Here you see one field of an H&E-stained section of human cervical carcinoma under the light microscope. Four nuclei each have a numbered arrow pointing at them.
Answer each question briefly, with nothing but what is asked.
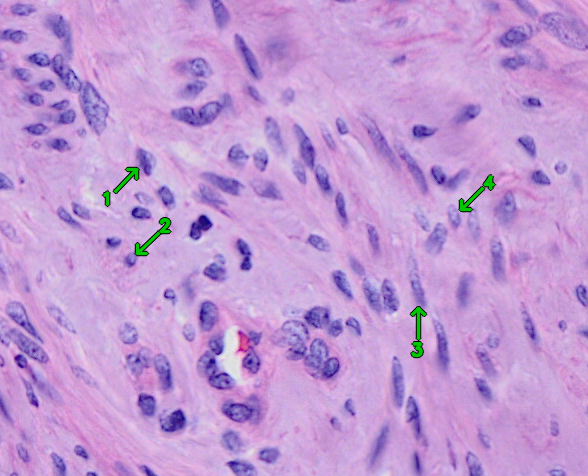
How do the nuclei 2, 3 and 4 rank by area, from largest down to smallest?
3, 4, 2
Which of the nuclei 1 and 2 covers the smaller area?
2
